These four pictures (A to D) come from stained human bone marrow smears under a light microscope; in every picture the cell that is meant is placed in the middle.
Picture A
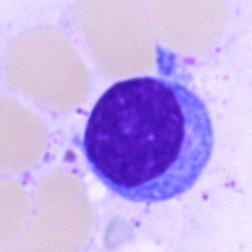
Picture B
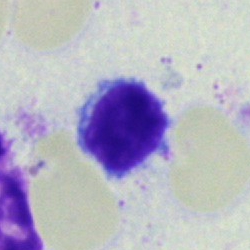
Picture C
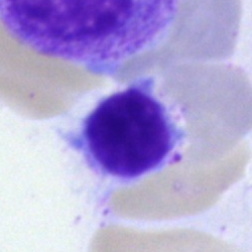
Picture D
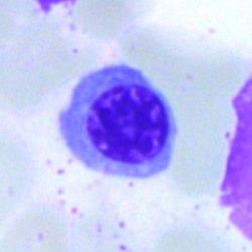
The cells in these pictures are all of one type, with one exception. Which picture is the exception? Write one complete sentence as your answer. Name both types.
The different one is picture D; it shows an erythroblast, whereas all the others show lymphocytes.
